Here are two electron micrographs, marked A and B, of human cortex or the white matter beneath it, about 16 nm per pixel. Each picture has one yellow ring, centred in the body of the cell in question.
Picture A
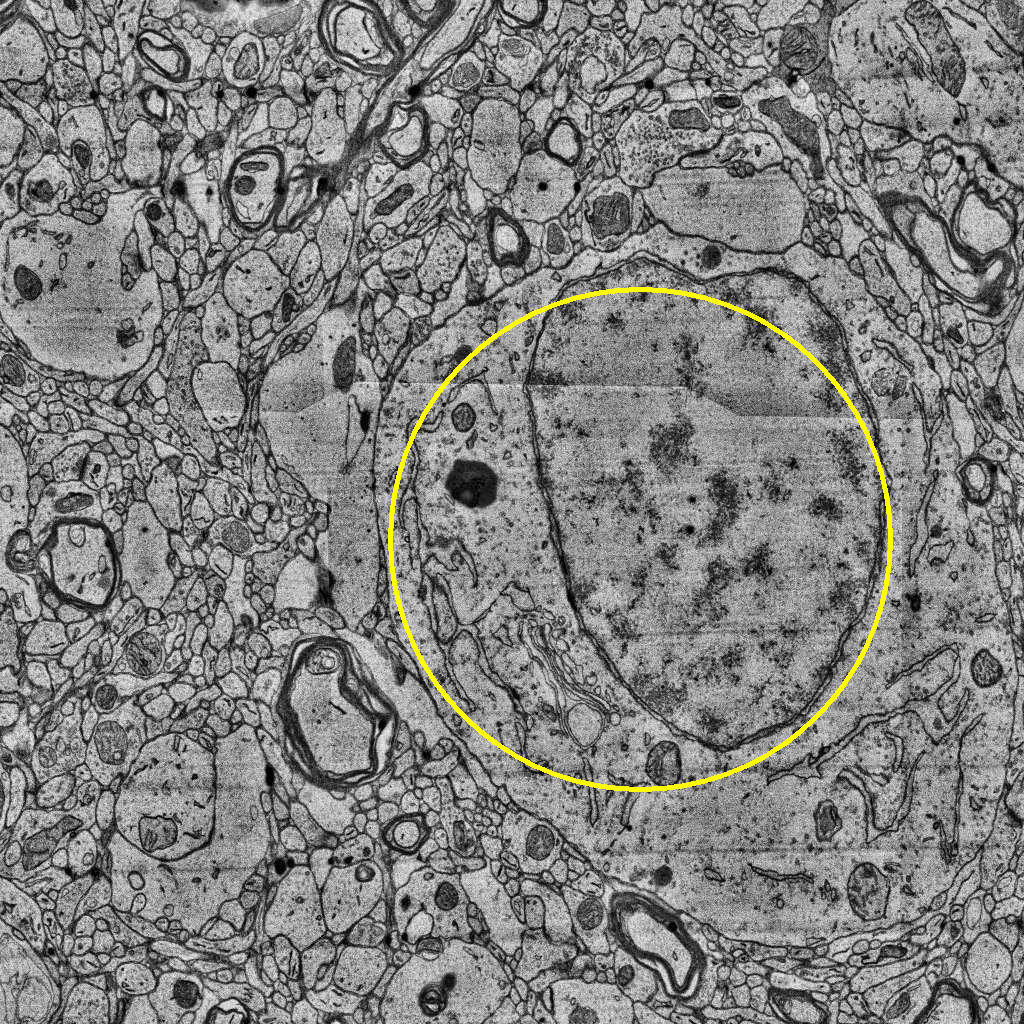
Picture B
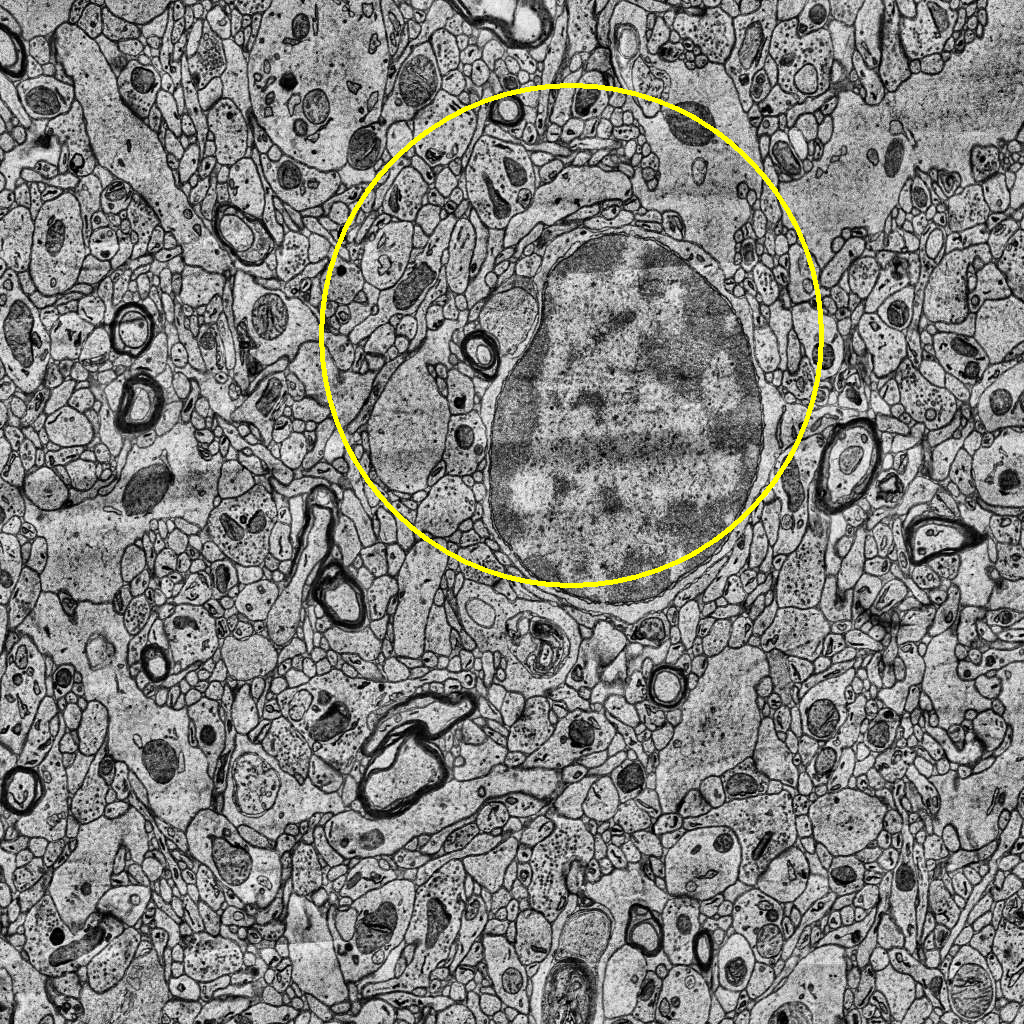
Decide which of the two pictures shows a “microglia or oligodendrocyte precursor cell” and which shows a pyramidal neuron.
Picture B shows a “microglia or oligodendrocyte precursor cell”, while picture A shows a pyramidal neuron.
